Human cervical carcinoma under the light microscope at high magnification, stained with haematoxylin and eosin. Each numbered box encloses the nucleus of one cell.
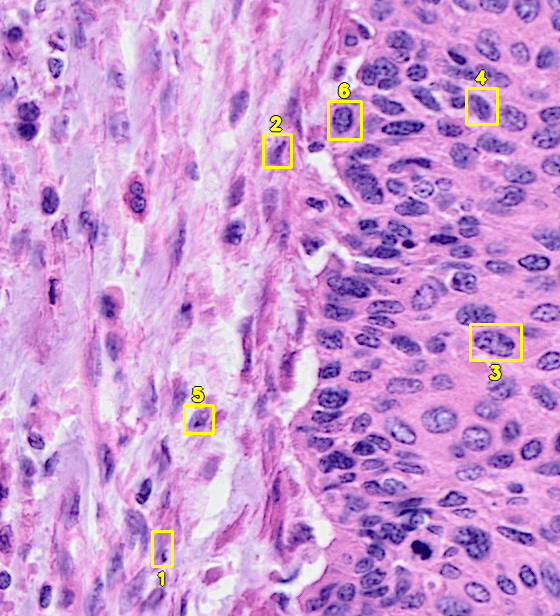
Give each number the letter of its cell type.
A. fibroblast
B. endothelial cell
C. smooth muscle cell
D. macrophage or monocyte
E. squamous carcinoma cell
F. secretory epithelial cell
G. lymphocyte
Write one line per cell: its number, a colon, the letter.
1: A
2: A
3: E
4: E
5: A
6: E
